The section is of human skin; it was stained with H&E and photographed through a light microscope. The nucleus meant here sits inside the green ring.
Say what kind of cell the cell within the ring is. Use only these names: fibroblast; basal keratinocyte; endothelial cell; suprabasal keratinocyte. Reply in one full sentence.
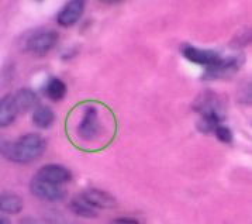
The cell within the ring is a fibroblast.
